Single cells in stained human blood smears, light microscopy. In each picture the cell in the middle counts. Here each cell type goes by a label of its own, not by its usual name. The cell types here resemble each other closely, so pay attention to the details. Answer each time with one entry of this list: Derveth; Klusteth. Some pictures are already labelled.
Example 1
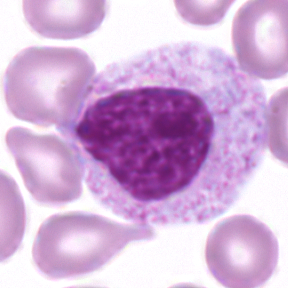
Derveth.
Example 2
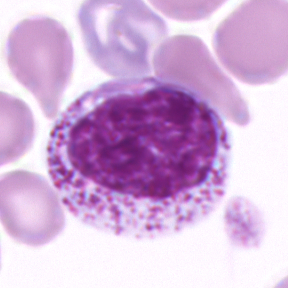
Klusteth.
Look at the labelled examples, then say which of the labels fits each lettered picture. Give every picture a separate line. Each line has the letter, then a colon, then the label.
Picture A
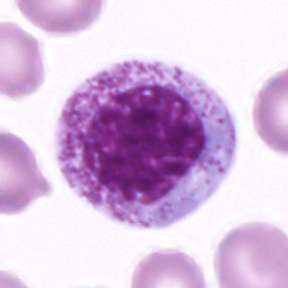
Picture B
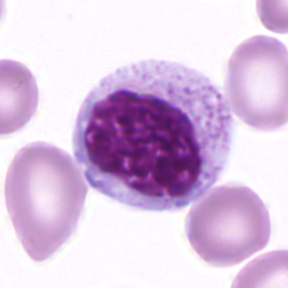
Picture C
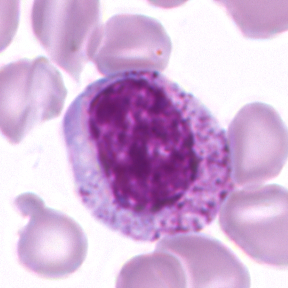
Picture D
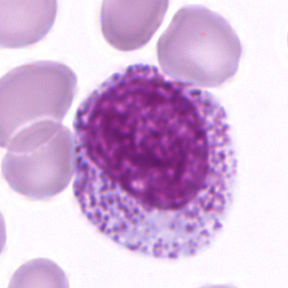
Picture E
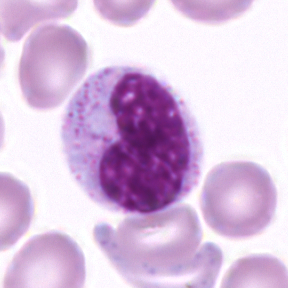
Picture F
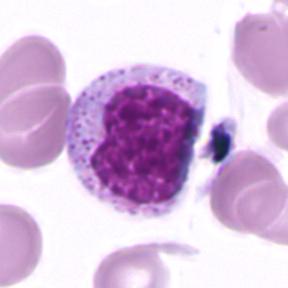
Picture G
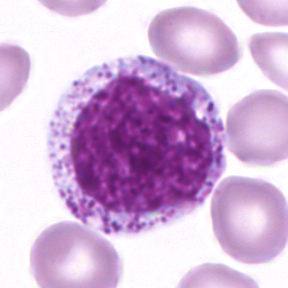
A: Derveth.
B: Klusteth.
C: Derveth.
D: Derveth.
E: Klusteth.
F: Klusteth.
G: Derveth.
